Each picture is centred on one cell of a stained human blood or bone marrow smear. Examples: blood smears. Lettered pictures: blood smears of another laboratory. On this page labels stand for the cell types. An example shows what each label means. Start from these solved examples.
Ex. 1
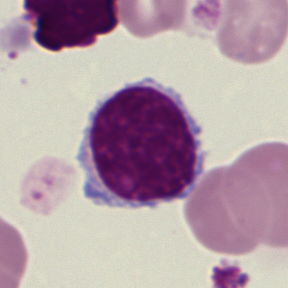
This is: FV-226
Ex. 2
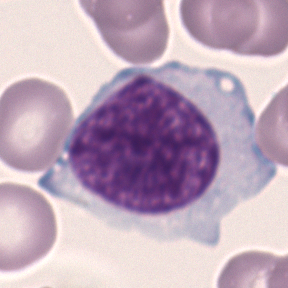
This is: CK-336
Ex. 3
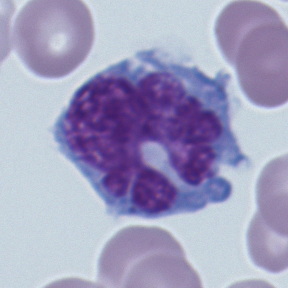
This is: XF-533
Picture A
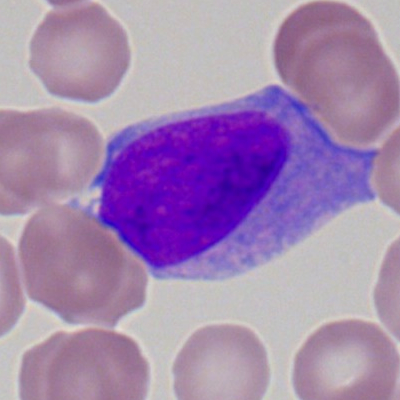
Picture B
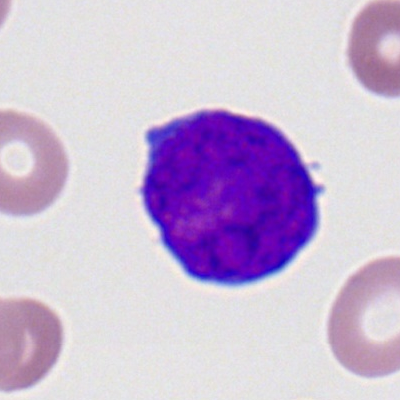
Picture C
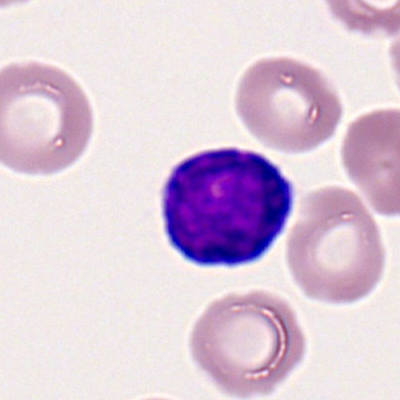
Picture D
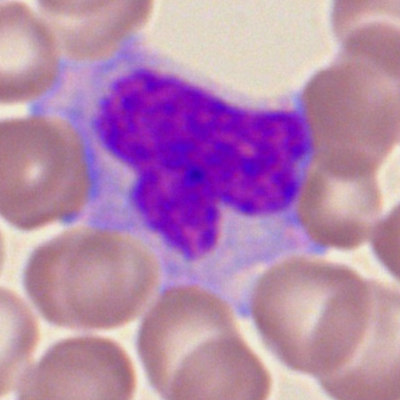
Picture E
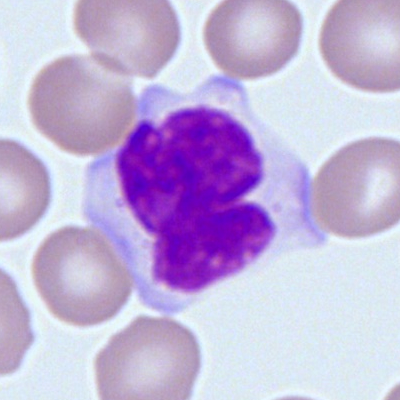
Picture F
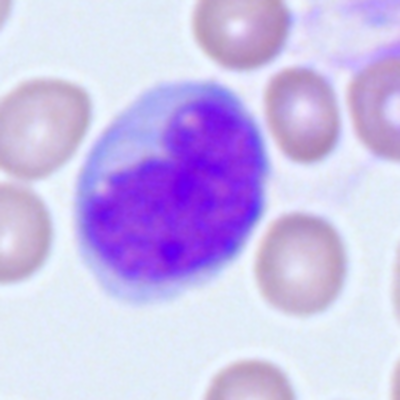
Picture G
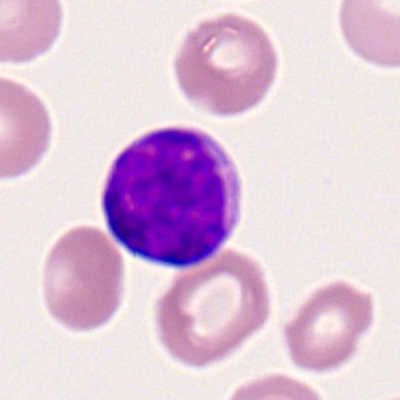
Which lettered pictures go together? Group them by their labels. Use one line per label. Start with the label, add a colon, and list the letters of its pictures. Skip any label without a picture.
FV-226: C, E, G
CK-336: A, B
XF-533: D, F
